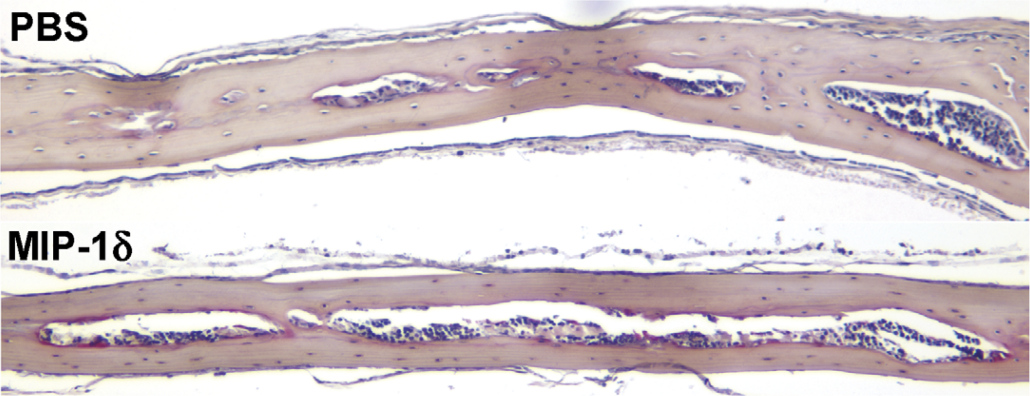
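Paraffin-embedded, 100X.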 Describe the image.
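Low-power views of a flat skull bone plate, pink-tan matrix with scattered nuclei in small lacunae, covered on both surfaces by thin fibrous layers. In the lower image the cavities are longer and run together along much of the plate, whereas in the upper image they are shorter and separate.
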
